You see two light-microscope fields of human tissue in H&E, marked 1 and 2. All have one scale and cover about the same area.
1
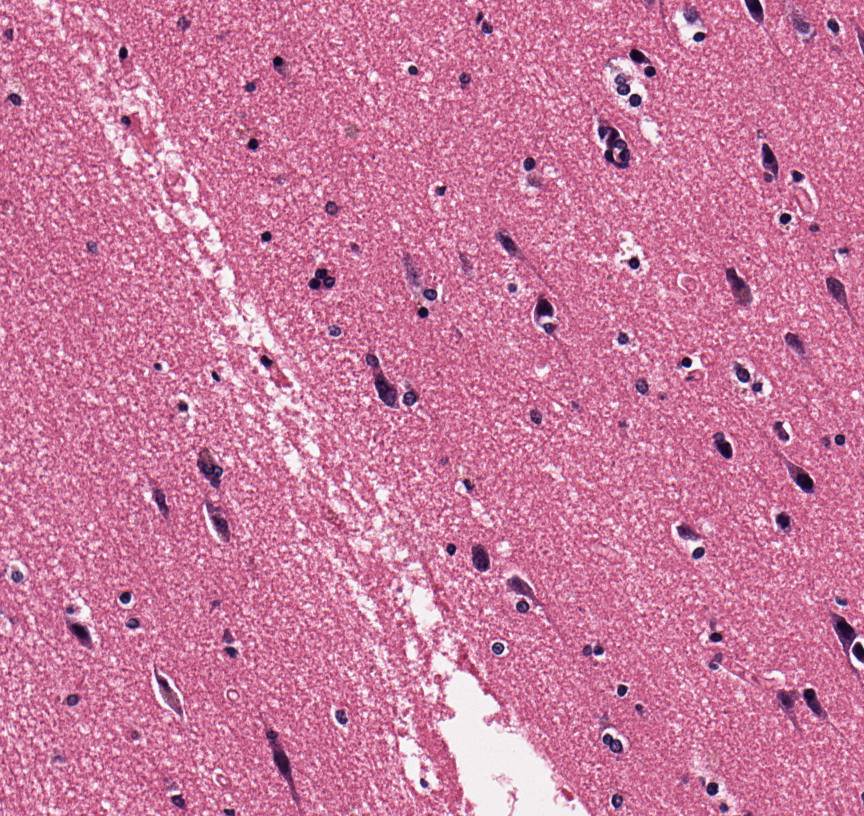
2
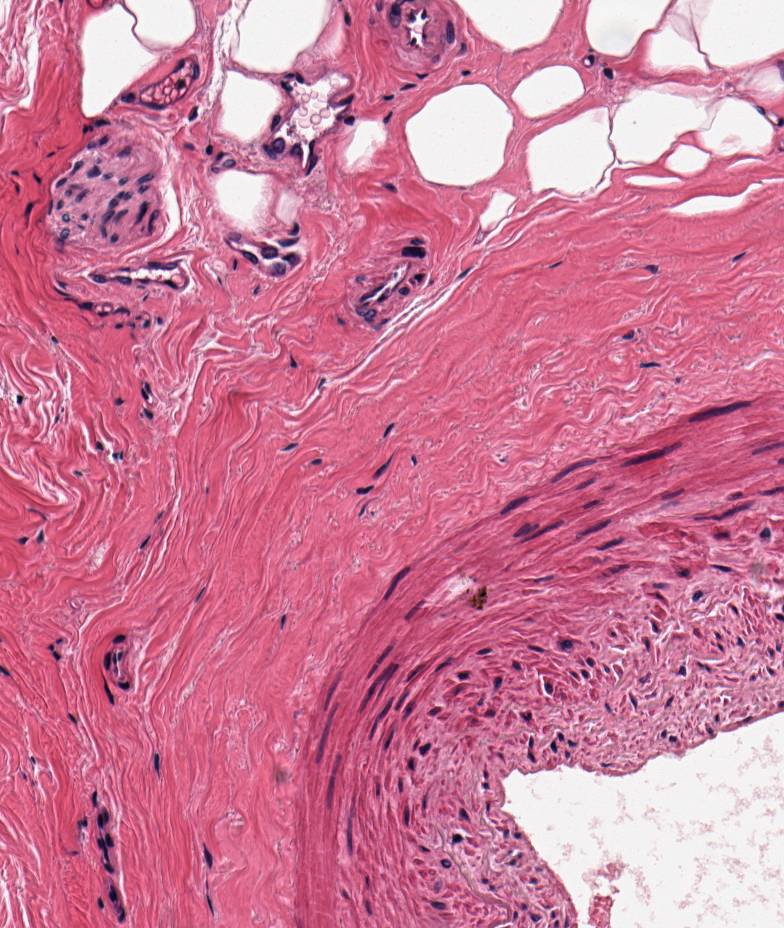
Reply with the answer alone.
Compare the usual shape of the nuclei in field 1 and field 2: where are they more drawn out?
2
